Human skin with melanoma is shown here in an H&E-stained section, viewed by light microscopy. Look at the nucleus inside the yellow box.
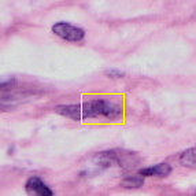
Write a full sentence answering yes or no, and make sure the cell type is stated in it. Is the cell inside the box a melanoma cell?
No, on this one the cell inside the box is a macrophage or monocyte, not a melanoma cell.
